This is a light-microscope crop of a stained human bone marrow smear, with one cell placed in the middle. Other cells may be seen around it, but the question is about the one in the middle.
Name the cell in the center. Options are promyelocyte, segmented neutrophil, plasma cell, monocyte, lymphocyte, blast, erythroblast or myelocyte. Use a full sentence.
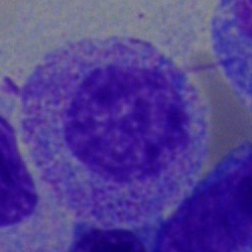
The middle cell in this particular crop is a myelocyte.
